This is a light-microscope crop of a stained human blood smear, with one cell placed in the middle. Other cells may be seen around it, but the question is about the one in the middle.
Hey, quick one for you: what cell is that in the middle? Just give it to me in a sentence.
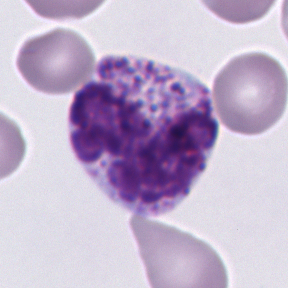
In this crop, the cell at the very middle is a basophil.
